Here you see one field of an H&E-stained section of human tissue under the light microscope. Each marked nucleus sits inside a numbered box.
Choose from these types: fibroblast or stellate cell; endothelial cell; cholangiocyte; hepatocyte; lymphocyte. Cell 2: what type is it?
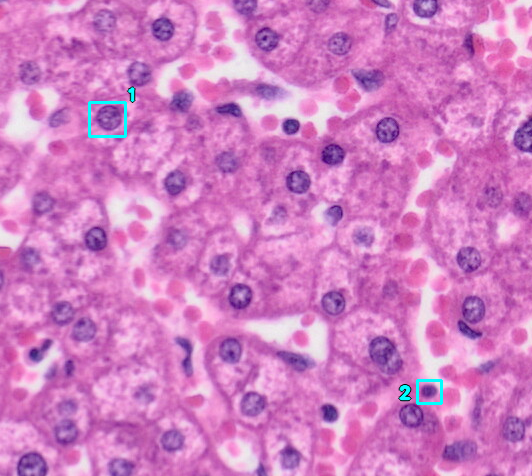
lymphocyte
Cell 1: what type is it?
hepatocyte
